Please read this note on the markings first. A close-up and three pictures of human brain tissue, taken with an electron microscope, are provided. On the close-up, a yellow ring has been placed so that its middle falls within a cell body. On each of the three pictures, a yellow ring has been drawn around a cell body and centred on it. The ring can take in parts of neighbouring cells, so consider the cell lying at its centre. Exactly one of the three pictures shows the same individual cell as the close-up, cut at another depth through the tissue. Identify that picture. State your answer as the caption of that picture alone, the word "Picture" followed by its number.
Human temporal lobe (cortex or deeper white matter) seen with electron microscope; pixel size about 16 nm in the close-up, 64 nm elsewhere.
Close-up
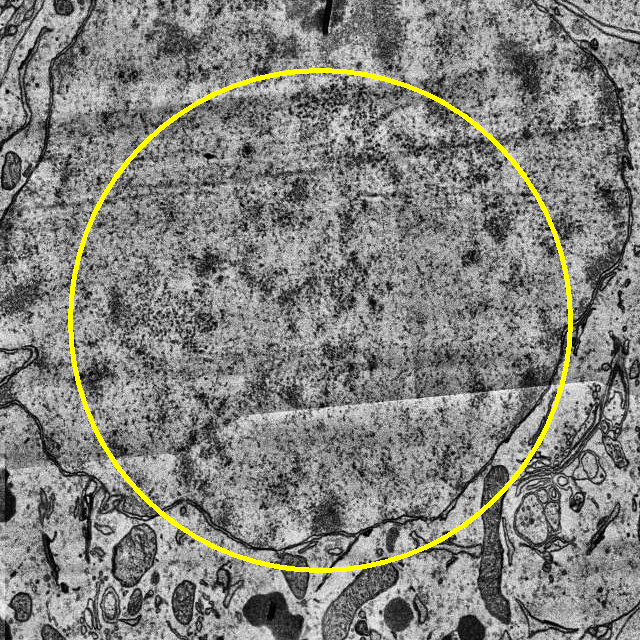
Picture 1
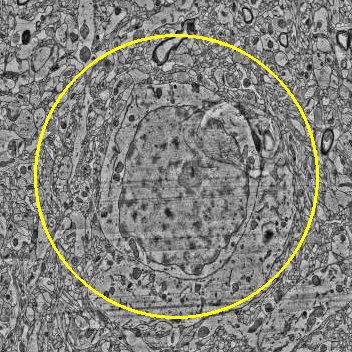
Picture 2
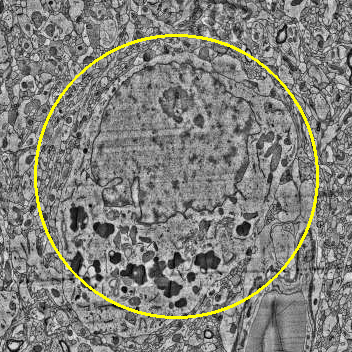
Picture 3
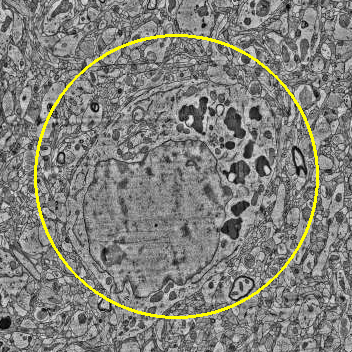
Picture 2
